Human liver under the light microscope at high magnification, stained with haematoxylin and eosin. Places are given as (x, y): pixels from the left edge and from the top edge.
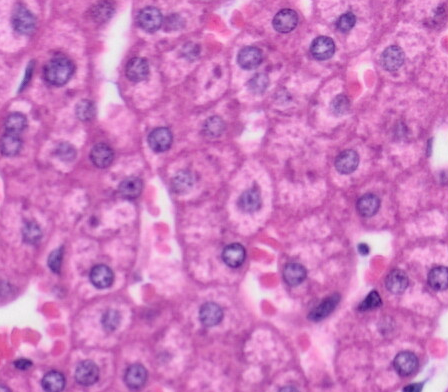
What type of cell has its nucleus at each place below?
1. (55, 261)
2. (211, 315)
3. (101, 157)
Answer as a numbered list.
1. endothelial cell
2. hepatocyte
3. hepatocyte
